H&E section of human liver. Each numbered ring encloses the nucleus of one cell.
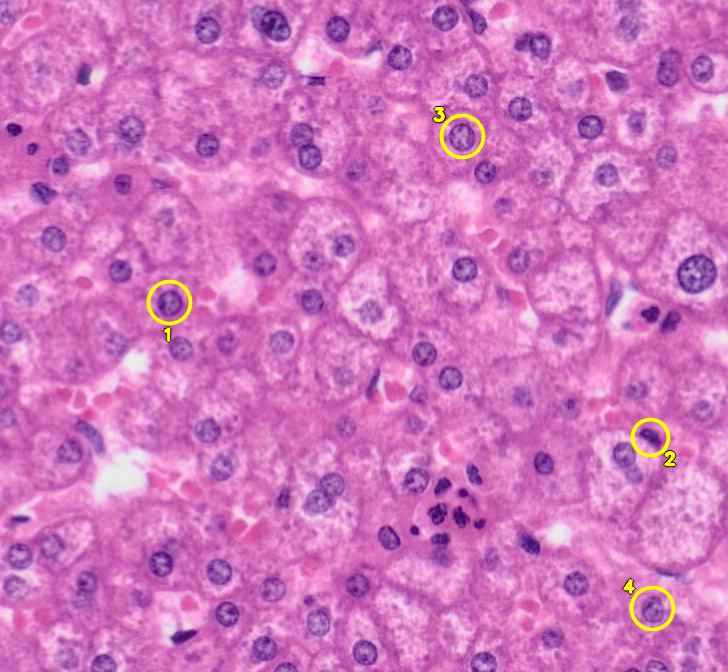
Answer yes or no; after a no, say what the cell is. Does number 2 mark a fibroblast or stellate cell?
Yes.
